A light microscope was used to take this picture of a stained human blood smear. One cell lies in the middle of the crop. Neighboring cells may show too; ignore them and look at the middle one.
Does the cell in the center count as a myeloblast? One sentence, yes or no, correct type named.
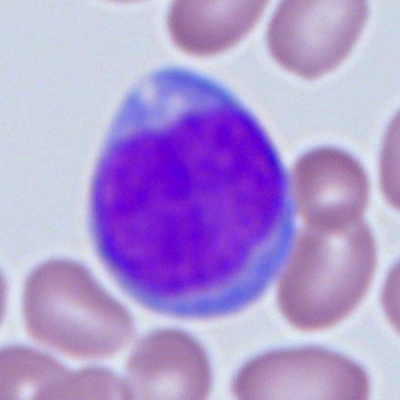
Yes, the cell in the middle of the crop is a myeloblast.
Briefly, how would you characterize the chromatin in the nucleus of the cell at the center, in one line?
Just so you know, its chromatin is coarsely clumped.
